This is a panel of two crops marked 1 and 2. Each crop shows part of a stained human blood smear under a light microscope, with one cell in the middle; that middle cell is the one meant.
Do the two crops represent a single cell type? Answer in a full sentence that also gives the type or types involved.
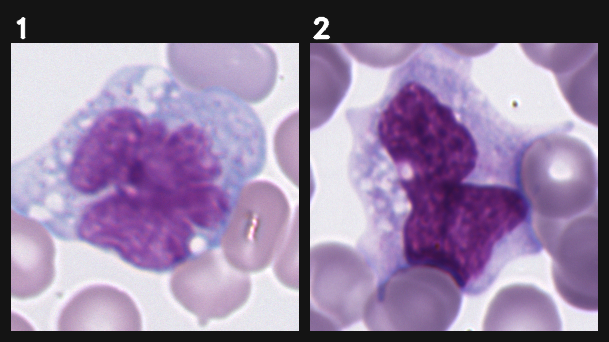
Yes, the cells centred in the two crops are both monocytes.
